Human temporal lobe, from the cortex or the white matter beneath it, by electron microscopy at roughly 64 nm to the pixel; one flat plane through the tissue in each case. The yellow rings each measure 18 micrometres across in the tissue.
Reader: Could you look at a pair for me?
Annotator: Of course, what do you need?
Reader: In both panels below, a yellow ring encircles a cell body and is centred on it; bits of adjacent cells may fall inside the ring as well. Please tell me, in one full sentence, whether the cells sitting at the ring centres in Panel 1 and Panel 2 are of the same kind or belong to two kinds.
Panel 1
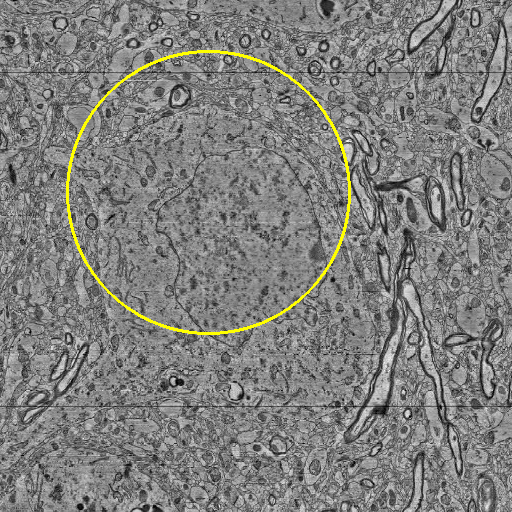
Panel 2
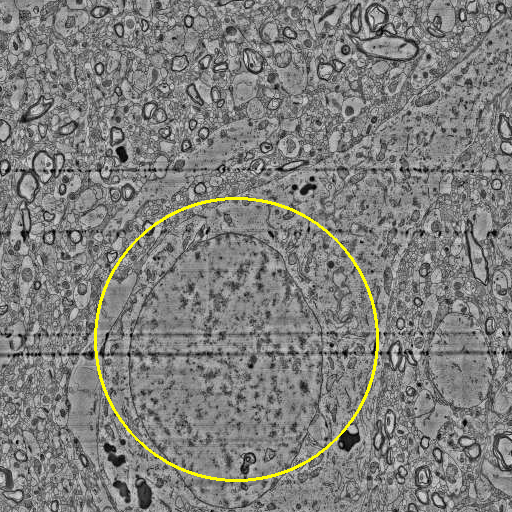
The cell at the ring's centre in Panel 1 and the one in Panel 2 are of the same kind.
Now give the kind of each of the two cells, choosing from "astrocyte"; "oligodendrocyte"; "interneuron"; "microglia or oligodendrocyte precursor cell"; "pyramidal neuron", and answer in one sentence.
In each picture the ringed cell is a pyramidal neuron.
